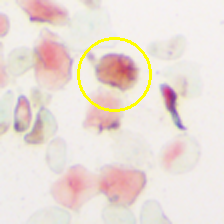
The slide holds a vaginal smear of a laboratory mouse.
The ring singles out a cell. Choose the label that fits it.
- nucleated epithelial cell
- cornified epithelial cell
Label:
cornified epithelial cell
